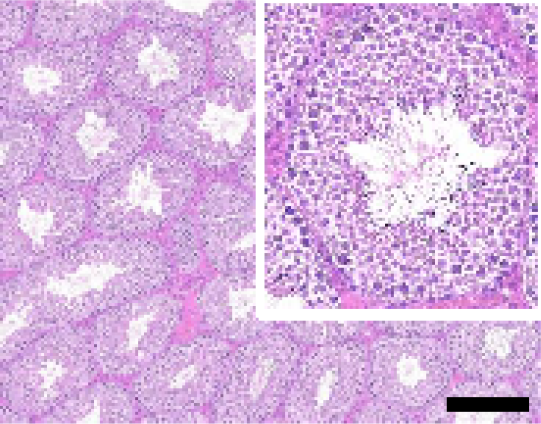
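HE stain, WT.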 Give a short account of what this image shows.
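Seminiferous tubules of the testis are cut in cross and oblique section, closely packed and separated by thin strips of pink interstitial tissue. Each tubule has a thick, stratified epithelium of germ cells with dark round nuclei, arranged in layers from the basal border toward the lumen. The central lumina contain pale, wispy filamentous material. The enlarged inset shows one tubule with concentric layers of cells around a lumen filled with this pale fibrillar material.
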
